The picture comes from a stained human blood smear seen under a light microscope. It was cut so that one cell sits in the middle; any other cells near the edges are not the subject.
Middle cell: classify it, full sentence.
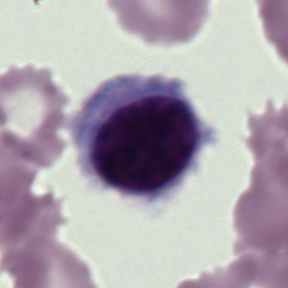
As for the central cell, it is a hairy cell.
